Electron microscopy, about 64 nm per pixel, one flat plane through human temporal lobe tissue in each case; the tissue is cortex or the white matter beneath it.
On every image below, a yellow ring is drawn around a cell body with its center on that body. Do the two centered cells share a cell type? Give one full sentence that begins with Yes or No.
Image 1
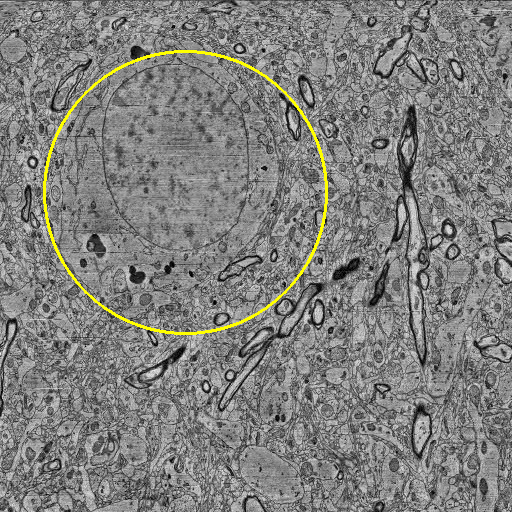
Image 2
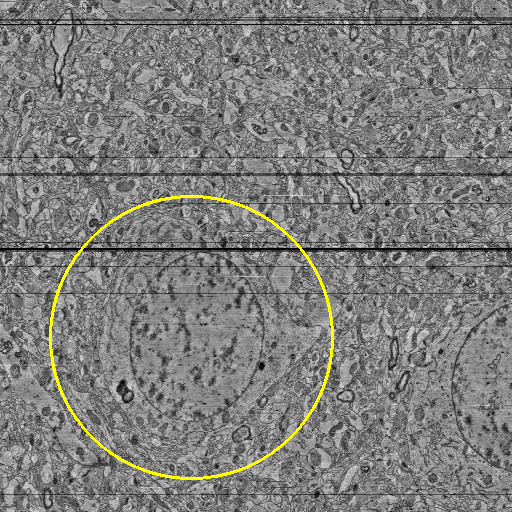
Yes, the centered cells in the two images are of a single cell type.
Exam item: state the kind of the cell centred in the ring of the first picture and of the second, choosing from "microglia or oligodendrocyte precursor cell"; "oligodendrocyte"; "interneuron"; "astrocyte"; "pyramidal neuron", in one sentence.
In each of the two pictures, the ringed cell is a pyramidal neuron.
